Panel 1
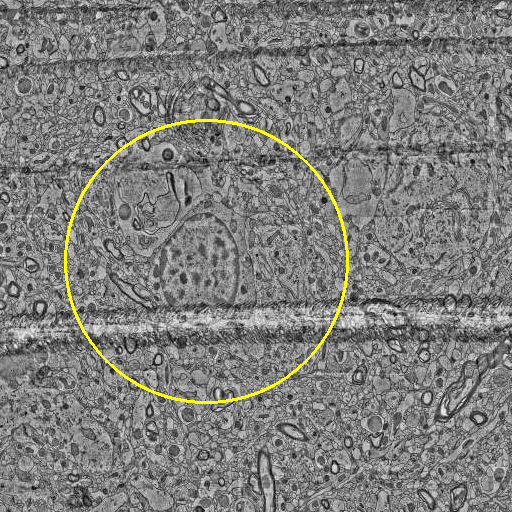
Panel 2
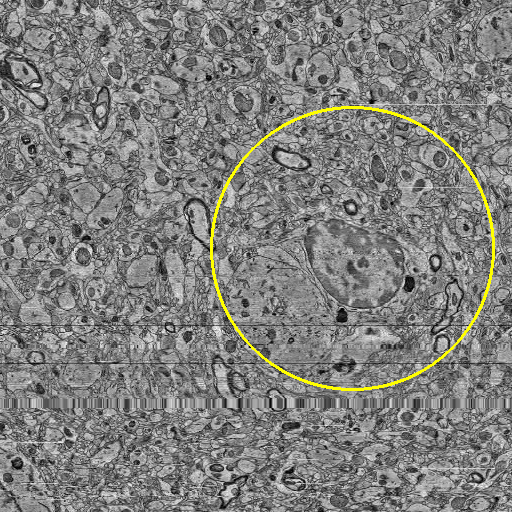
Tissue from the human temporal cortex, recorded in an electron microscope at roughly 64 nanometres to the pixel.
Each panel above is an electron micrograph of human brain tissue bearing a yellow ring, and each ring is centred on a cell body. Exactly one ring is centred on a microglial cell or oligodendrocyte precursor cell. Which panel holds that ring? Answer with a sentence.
That ring is in Panel 2.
